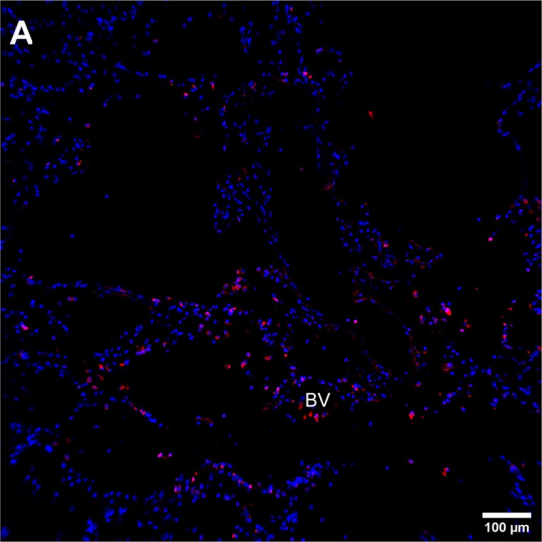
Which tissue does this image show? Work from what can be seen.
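Thin branching walls lined with blue nuclei separate wide empty air spaces.
Answer: alveolar septa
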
